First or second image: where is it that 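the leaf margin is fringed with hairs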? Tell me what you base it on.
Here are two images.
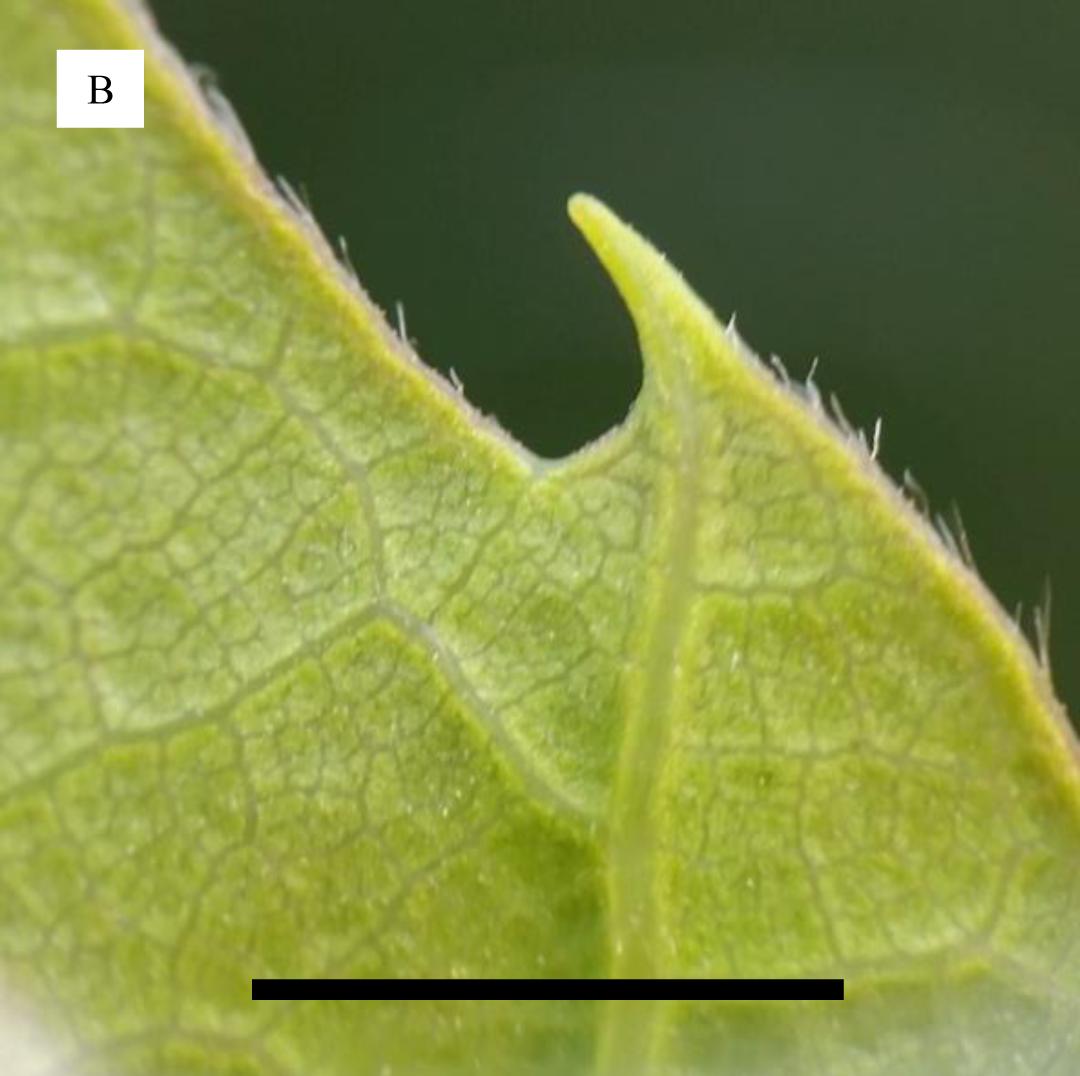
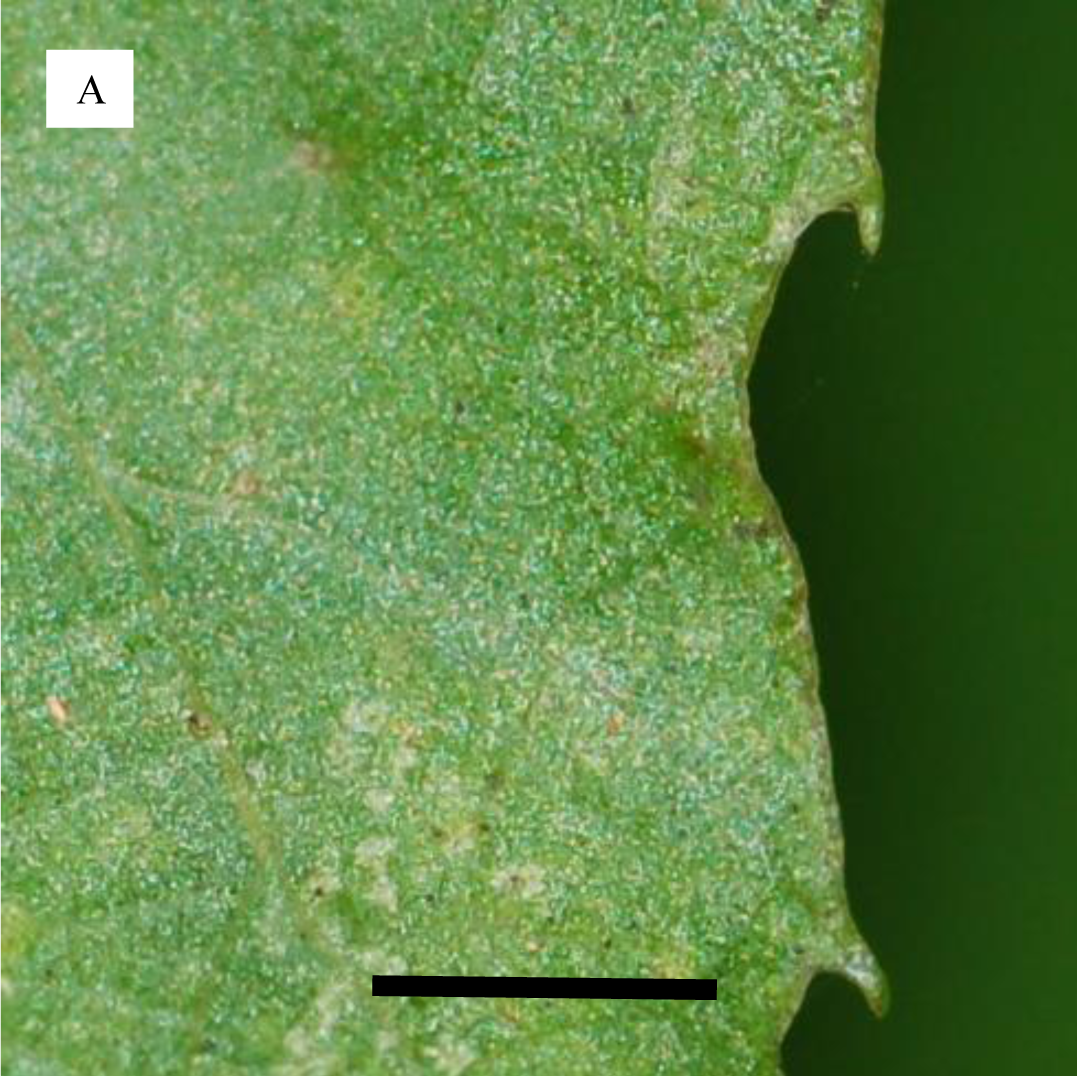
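First image: short pale hairs project along the leaf edge and tooth. Second image: the leaf edge and its hooked teeth are smooth, with no projecting hairs.
Conclusion: the first image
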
